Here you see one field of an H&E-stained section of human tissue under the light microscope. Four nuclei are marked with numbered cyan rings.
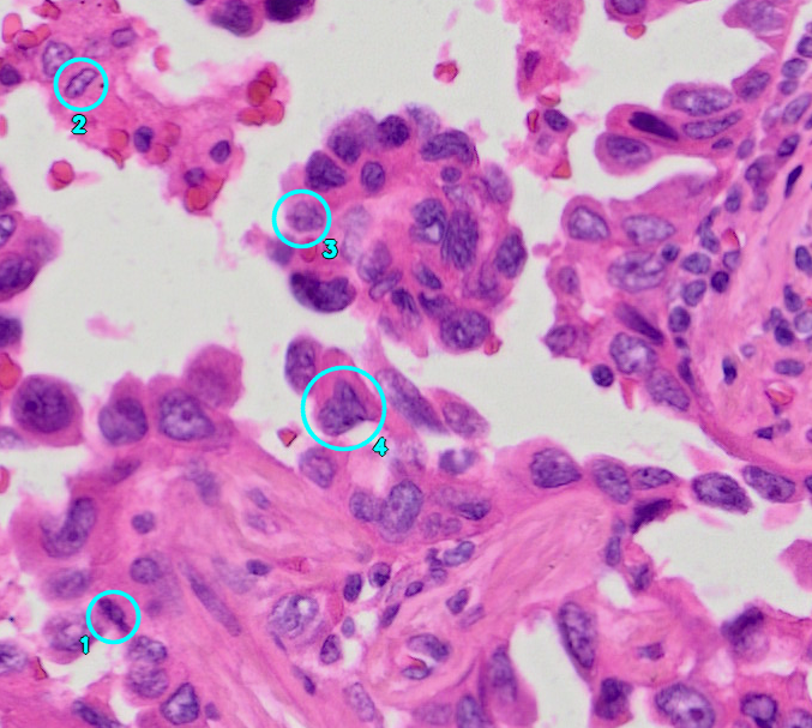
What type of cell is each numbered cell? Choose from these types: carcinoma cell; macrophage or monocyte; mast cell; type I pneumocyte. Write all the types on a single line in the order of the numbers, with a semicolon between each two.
carcinoma cell; macrophage or monocyte; carcinoma cell; carcinoma cell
